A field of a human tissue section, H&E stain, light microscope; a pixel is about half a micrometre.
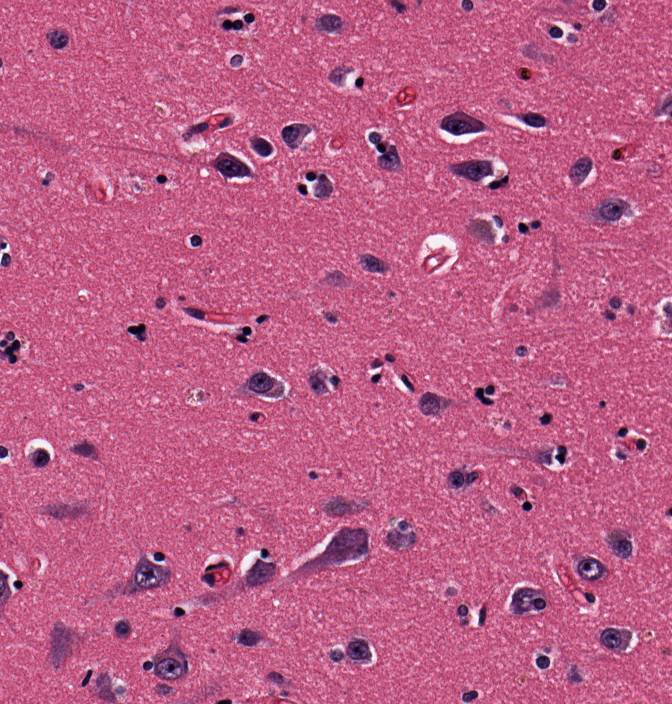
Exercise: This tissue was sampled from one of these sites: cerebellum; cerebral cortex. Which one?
cerebral cortex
